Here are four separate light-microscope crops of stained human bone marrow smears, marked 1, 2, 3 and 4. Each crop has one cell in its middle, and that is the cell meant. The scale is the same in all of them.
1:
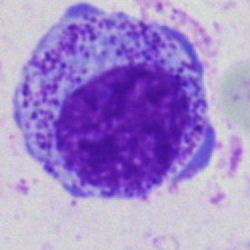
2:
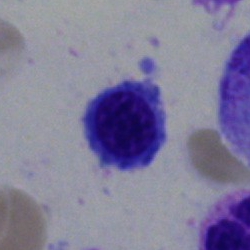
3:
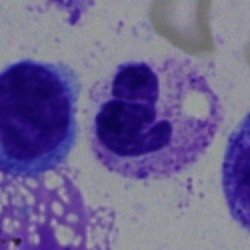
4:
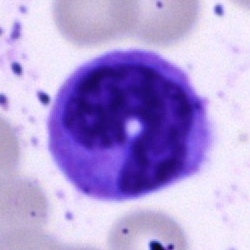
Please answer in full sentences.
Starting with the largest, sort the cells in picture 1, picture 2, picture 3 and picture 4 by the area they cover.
The order is 1, 4, 3, 2, beginning with the largest.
